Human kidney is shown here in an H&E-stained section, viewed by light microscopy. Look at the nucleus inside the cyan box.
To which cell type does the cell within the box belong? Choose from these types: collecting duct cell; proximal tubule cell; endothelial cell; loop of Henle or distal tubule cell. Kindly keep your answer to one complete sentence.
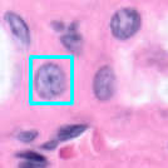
Histopathologically, the cell within the box is a loop of Henle or distal tubule cell.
